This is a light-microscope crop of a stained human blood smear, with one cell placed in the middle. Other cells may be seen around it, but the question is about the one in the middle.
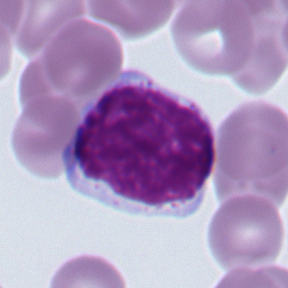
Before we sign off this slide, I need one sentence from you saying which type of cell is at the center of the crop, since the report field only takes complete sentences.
The cell of interest, in the center, is a large granular lymphocyte.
